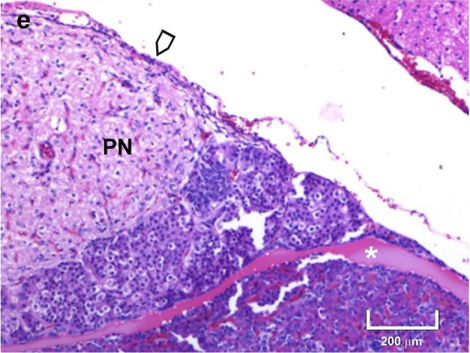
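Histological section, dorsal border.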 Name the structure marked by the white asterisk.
Pituitary cleft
